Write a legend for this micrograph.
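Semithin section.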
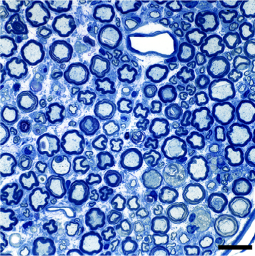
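This is a cross-section of a peripheral nerve with many myelinated nerve fibers, each seen as a dark blue ring of myelin around a pale axon. Compared with an orderly nerve, the fibers here are less evenly packed and many myelin rings are irregular, folded or collapsed. Several profiles hold dark, clumped material rather than a clear axon, consistent with degenerating fibers. A large empty elongated space, likely a vessel lumen, sits near the top of the field.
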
